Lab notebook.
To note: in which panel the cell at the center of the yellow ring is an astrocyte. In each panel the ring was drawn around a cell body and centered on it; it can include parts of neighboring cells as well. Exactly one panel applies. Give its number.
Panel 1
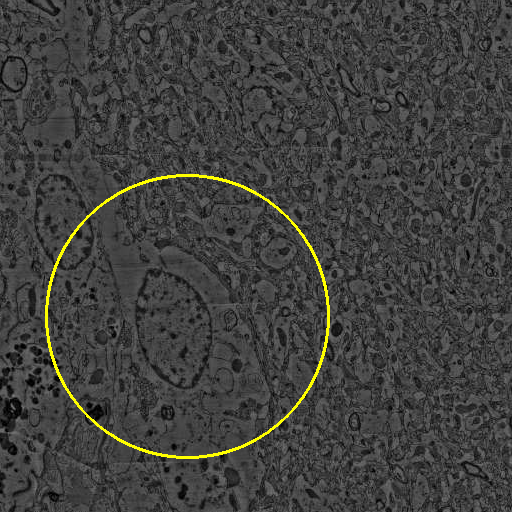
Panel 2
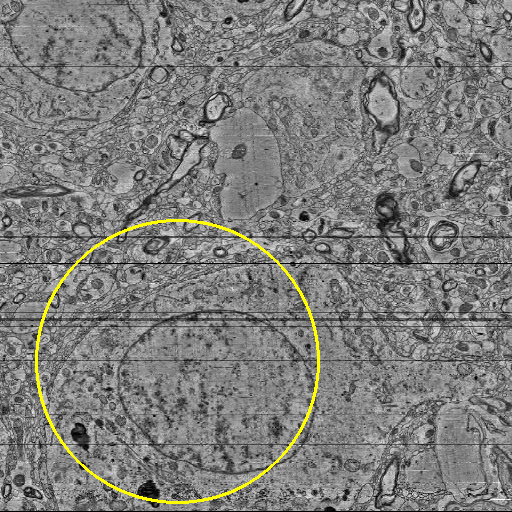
1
